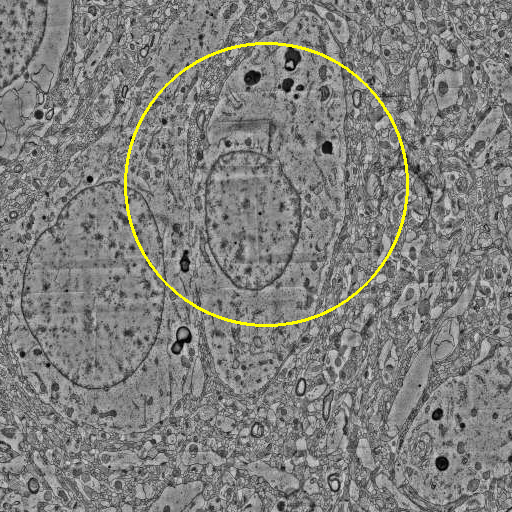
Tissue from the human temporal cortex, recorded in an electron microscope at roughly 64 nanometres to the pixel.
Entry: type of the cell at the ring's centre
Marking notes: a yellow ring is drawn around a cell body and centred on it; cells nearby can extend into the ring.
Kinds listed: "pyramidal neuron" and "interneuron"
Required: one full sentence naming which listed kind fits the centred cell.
My entry names a pyramidal neuron as the cell whose body the yellow ring centres on.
